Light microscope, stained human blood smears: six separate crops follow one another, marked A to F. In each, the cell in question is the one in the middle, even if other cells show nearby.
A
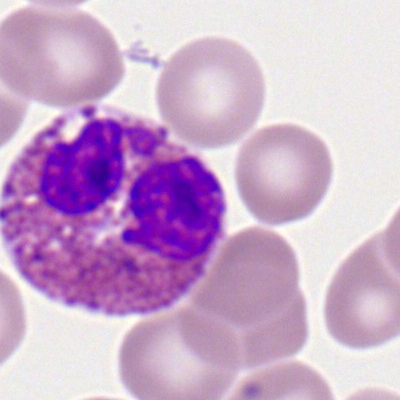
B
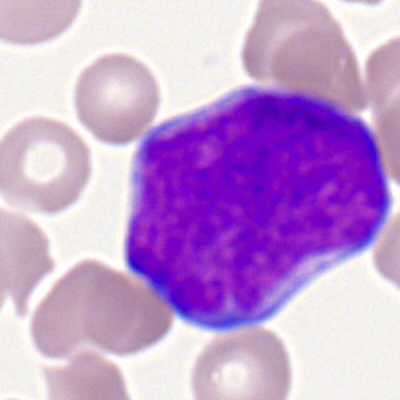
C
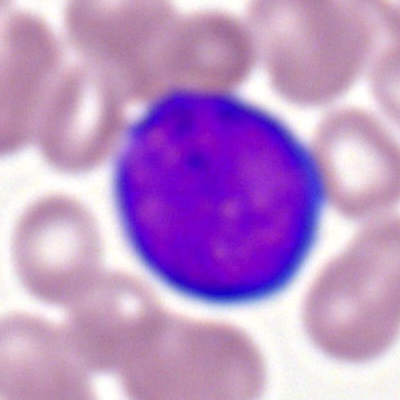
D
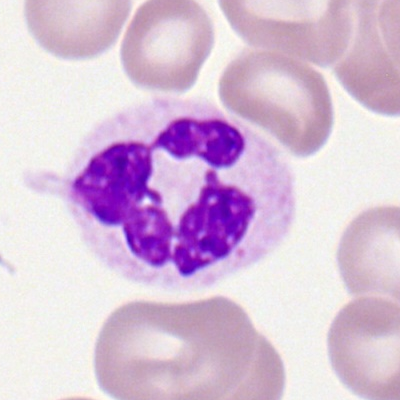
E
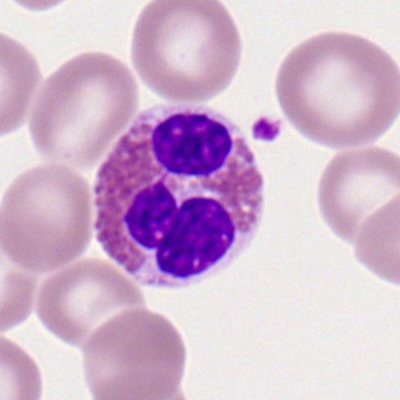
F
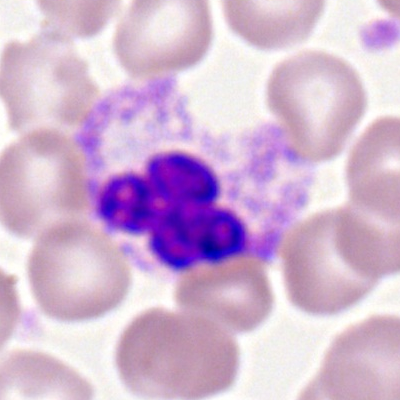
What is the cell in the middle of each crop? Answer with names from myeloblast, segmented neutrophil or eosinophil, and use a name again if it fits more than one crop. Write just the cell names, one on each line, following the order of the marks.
eosinophil
myeloblast
myeloblast
segmented neutrophil
eosinophil
segmented neutrophil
